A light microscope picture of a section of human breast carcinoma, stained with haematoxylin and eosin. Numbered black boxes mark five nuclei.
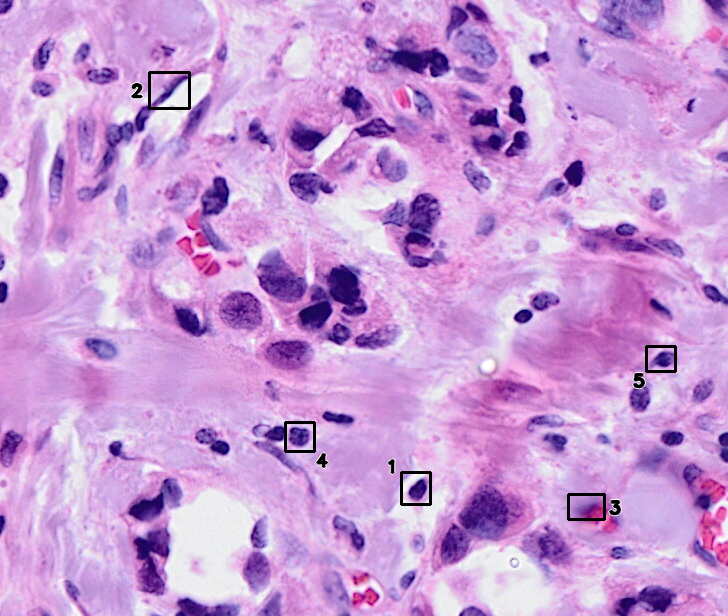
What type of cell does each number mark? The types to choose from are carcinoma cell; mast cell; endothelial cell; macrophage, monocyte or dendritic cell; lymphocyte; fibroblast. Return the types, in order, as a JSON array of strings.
["lymphocyte", "fibroblast", "endothelial cell", "lymphocyte", "lymphocyte"]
